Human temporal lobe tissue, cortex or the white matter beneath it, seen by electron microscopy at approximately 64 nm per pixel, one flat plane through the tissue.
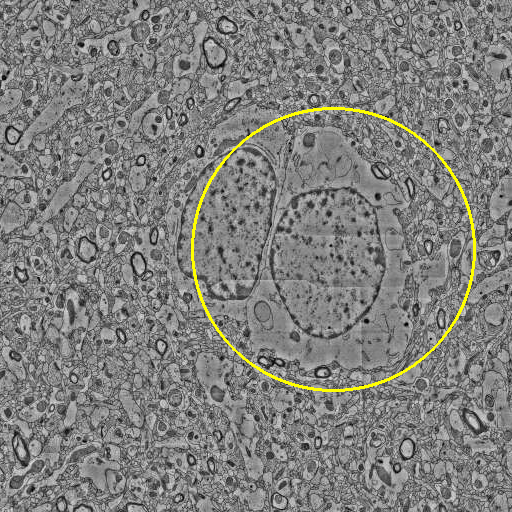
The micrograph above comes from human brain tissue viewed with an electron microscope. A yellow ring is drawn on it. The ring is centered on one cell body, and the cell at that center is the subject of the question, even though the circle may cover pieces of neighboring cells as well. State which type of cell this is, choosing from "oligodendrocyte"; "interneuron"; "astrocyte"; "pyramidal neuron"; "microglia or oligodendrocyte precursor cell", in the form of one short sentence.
The cell the ring is centered on is an astrocyte.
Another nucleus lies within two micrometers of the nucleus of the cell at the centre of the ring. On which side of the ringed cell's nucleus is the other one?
That other nucleus is to the upper left of it.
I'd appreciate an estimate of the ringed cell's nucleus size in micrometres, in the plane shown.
The nucleus is approximately 10 micrometers long by 7 micrometers wide in this plane.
